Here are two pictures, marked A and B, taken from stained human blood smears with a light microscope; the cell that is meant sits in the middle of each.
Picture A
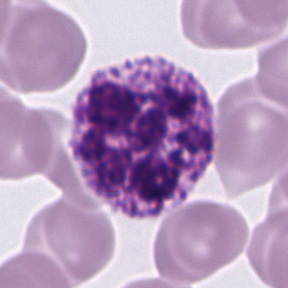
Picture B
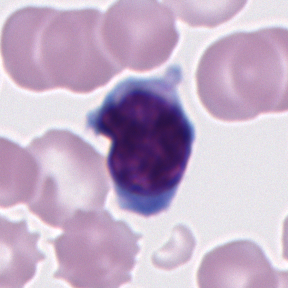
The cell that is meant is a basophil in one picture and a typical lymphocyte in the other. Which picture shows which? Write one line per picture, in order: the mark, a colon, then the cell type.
A: basophil
B: typical lymphocyte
